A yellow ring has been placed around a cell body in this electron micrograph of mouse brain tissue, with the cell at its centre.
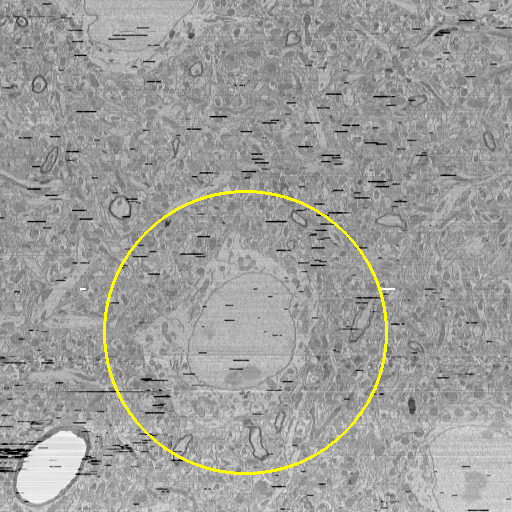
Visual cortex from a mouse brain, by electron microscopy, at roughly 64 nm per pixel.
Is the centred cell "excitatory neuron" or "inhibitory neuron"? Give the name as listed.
excitatory neuron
